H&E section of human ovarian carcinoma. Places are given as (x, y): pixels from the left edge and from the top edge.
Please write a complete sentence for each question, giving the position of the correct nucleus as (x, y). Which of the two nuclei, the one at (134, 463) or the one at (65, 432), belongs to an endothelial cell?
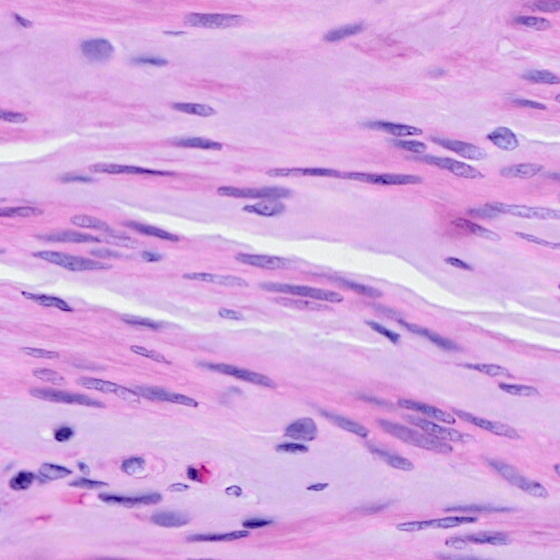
Of the two nuclei, that at (134, 463) is the nucleus of an endothelial cell.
